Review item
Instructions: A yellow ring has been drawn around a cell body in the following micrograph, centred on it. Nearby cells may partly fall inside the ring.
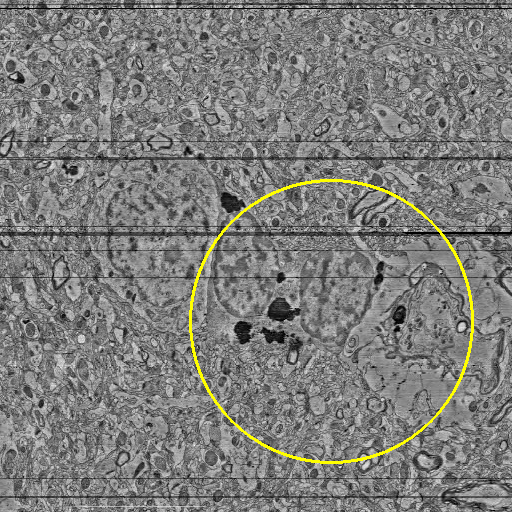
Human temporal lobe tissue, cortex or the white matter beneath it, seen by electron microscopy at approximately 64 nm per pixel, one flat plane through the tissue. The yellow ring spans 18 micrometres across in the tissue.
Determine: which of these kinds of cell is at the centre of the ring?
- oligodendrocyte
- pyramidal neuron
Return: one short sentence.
The cell body in the middle of the ring is that of an oligodendrocyte.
